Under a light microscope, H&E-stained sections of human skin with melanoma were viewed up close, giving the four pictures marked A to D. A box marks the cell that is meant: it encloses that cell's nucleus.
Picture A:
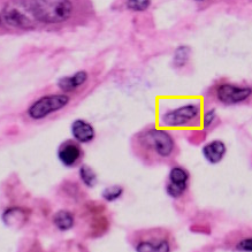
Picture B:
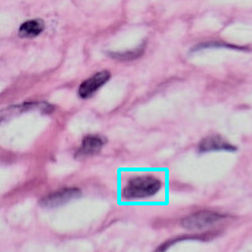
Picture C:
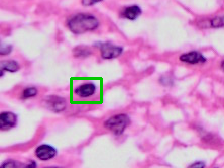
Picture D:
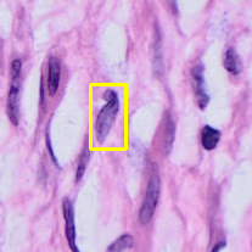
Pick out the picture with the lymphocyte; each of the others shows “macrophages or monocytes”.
C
